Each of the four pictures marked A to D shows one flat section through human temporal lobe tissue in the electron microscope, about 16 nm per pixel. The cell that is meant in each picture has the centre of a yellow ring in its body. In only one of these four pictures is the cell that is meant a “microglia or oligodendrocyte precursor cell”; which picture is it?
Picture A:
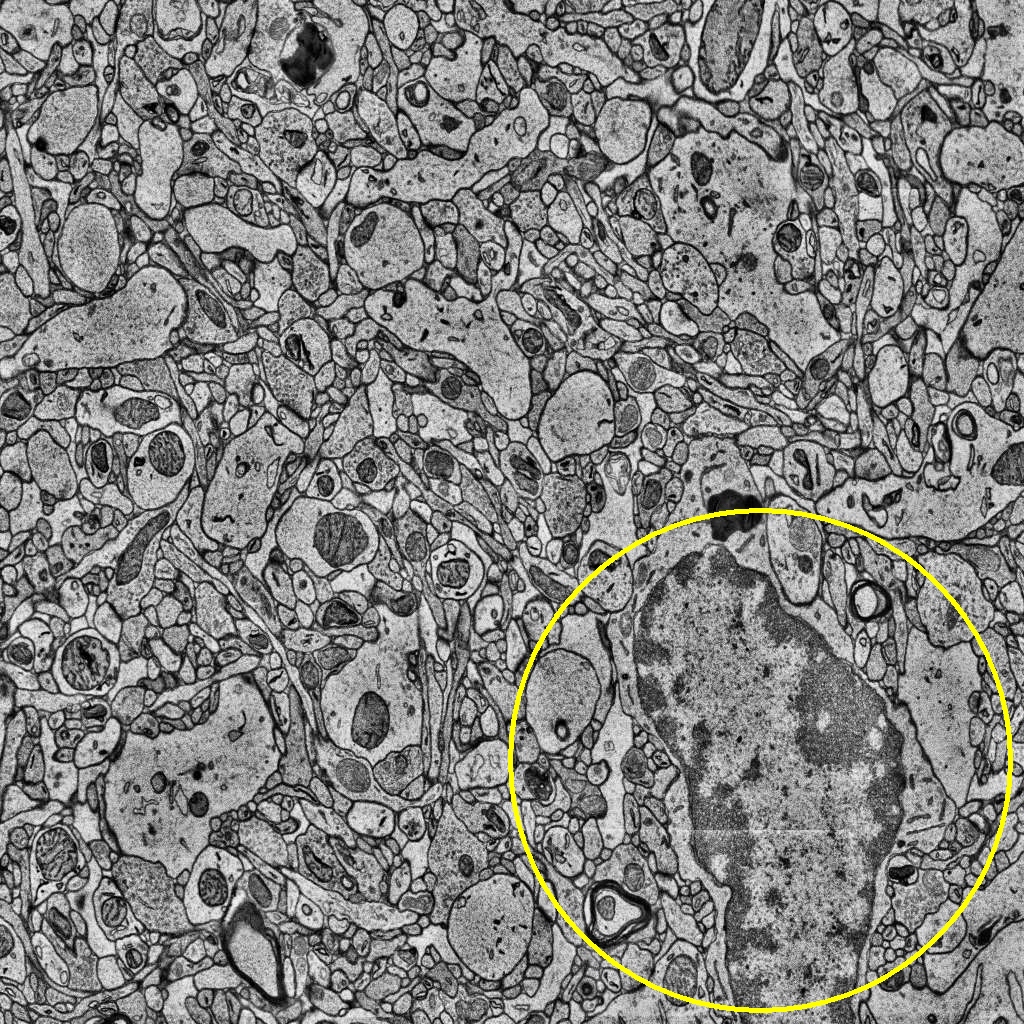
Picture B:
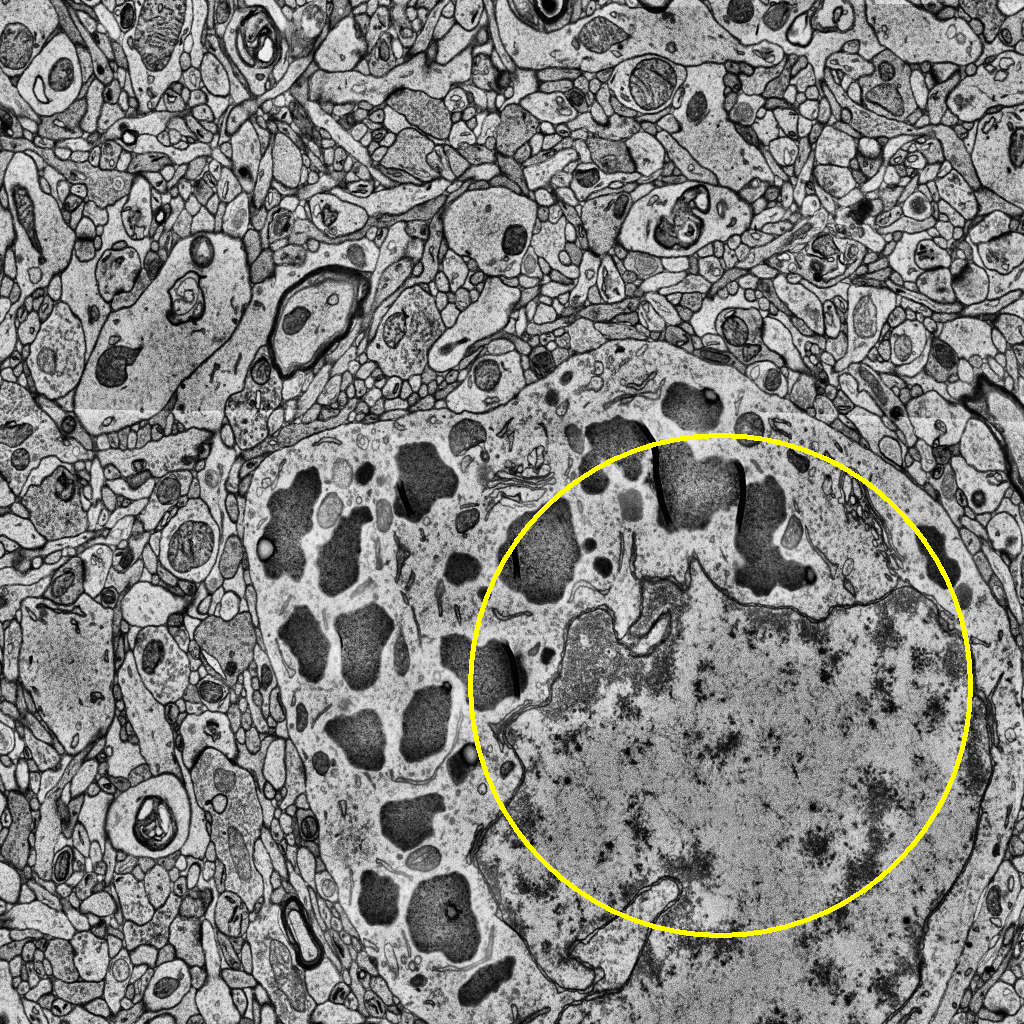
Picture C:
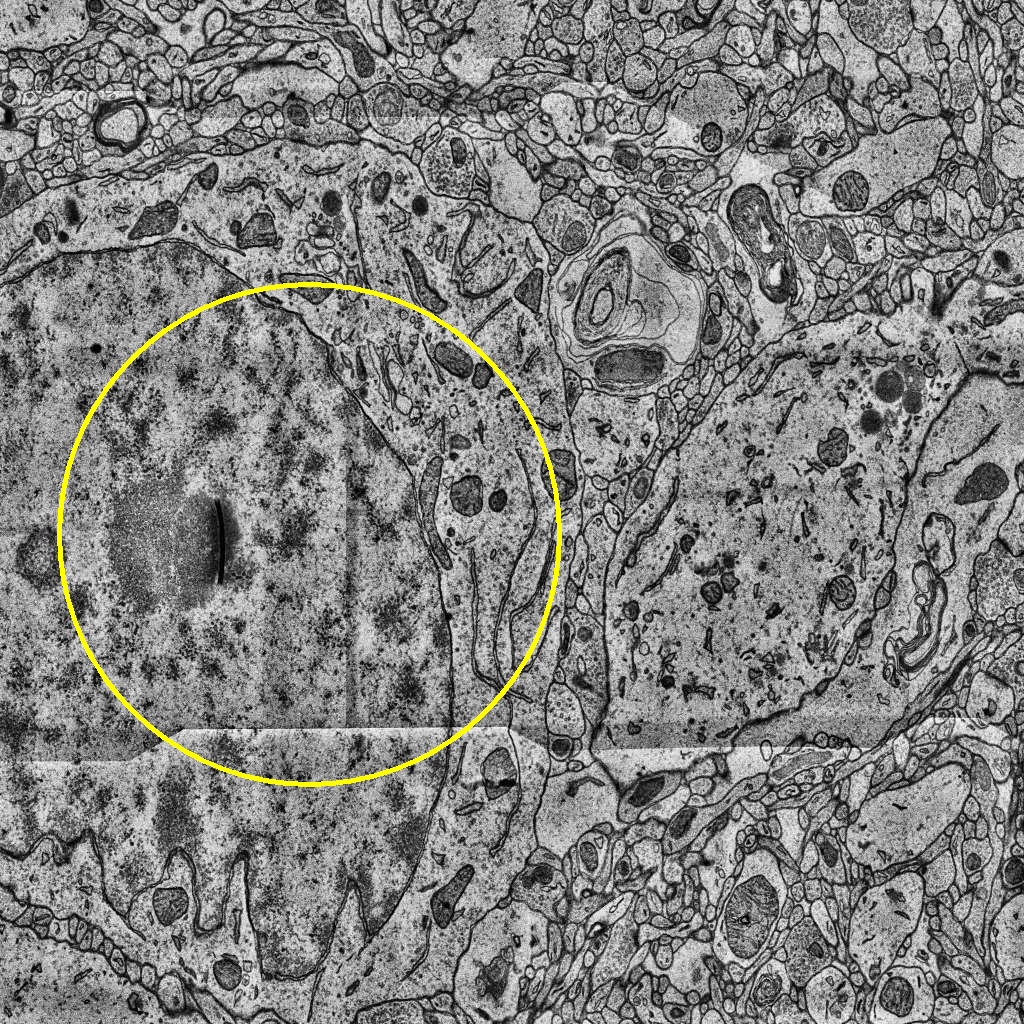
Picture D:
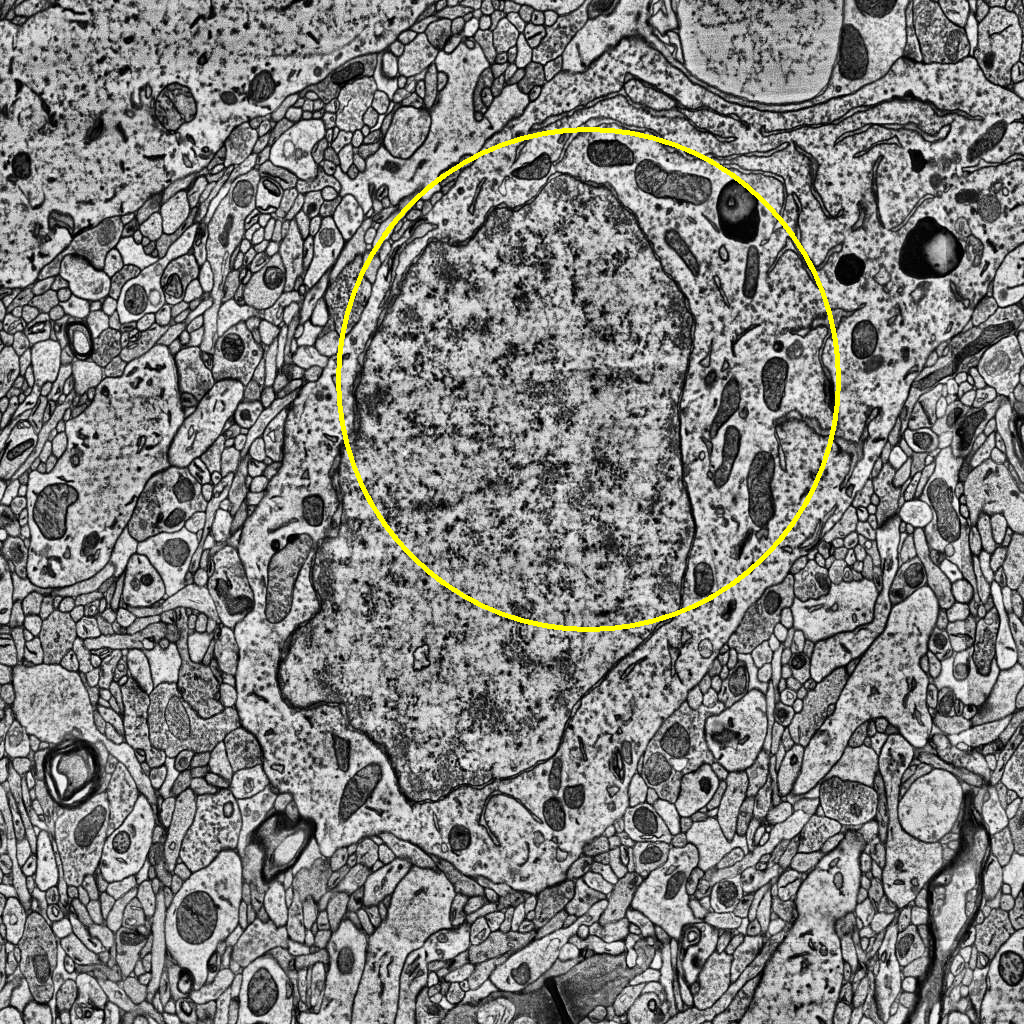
It is picture A that shows the “microglia or oligodendrocyte precursor cell”.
